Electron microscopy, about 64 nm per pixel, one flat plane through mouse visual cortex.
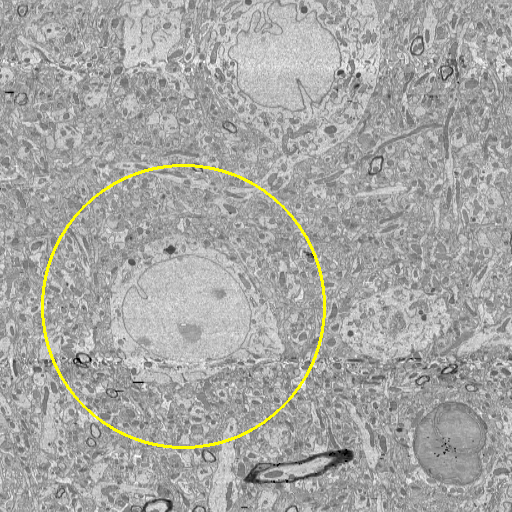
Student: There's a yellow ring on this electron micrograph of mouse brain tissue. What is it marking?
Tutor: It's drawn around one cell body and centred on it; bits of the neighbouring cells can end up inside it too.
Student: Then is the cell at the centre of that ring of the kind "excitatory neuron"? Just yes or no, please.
yes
